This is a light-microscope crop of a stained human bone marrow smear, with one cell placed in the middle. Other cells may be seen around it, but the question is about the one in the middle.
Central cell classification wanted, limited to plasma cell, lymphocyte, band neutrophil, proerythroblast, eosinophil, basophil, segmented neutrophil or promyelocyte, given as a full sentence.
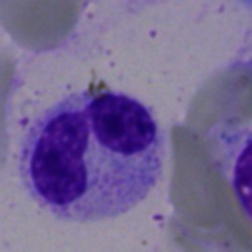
The identification for the central cell is a segmented neutrophil.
